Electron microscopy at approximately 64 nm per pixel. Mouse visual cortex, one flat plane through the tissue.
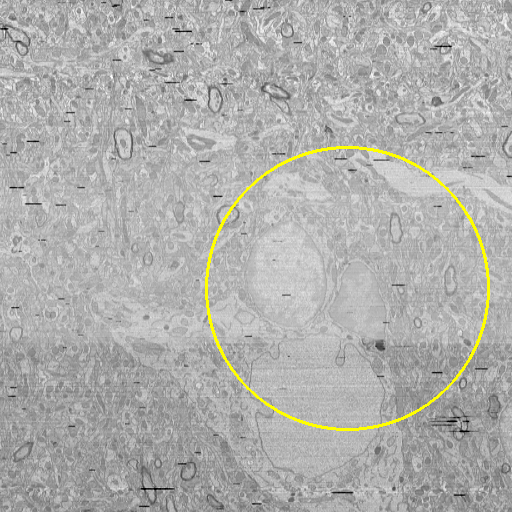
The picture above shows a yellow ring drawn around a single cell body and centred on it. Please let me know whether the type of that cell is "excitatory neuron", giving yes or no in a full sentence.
No, the cell at the centre of the ring above has a different type.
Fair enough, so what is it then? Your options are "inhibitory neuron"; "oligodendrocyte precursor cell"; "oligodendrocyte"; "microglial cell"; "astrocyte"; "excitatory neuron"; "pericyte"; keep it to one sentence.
The cell in question here is a microglial cell.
